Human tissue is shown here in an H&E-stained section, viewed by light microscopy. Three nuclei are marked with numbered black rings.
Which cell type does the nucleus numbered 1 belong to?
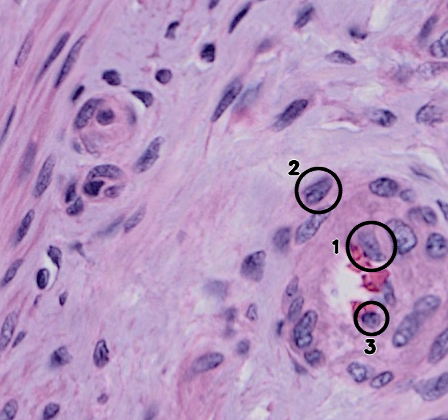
endothelial cell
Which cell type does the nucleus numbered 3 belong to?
endothelial cell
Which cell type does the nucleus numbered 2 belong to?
smooth muscle cell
